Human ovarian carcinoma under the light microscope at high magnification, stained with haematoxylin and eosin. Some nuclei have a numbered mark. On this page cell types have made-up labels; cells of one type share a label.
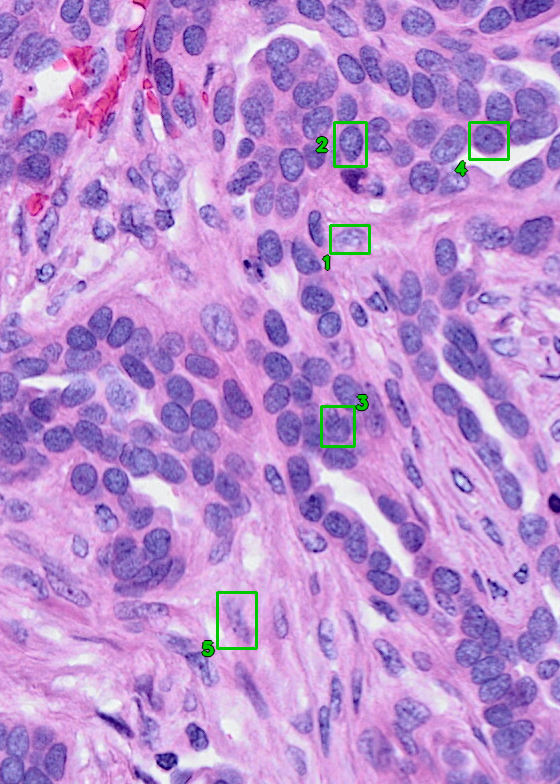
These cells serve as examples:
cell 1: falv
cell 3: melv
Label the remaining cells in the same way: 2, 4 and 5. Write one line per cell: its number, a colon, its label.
2: melv
4: melv
5: falv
